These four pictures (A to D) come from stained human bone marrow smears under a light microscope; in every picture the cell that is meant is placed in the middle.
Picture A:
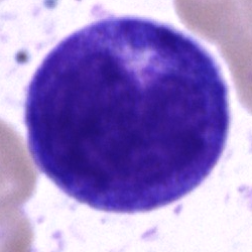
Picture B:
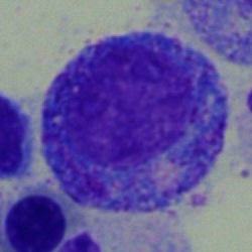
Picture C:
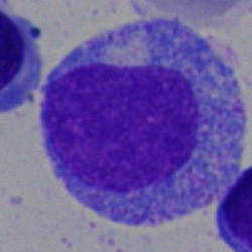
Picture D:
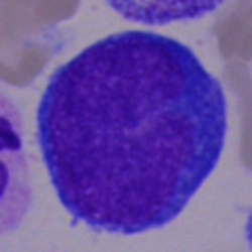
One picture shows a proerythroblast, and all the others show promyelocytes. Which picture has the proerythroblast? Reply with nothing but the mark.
D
